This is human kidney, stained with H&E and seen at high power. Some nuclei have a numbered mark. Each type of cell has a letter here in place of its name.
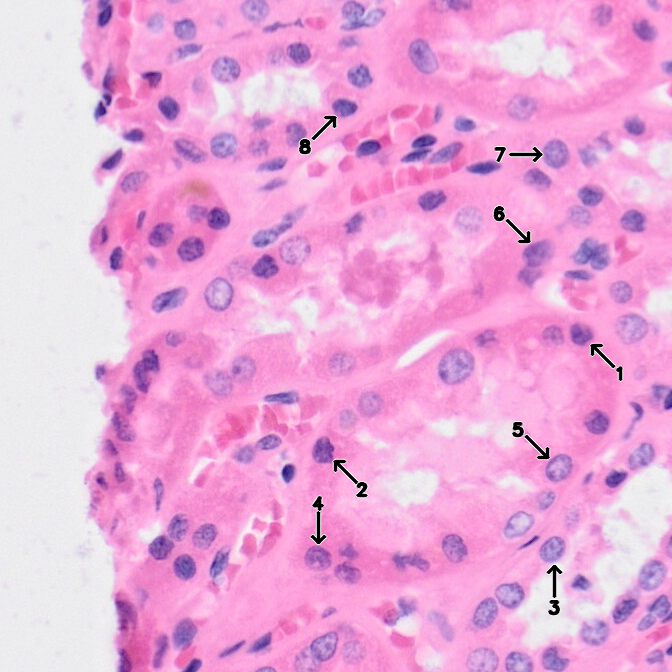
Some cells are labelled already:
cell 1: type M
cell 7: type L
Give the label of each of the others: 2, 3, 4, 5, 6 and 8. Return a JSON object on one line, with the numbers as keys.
{"2": "type M", "3": "type L", "4": "type M", "5": "type M", "6": "type M", "8": "type L"}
